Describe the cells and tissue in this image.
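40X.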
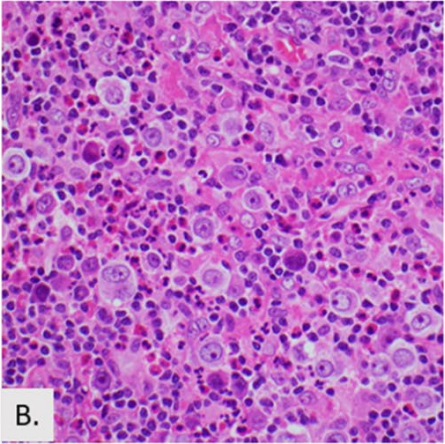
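This field shows scattered large atypical cells of the Hodgkin-Reed-Sternberg type set in a mixed background of smaller inflammatory cells. The large cells have ample pale pink to clear cytoplasm and large round nuclei, each with a conspicuous reddish nucleolus. Around them lie many small round lymphocytes with dark nuclei and scant cytoplasm. Numerous cells with bright orange-red granular cytoplasm, eosinophils, are sprinkled throughout. The mixture of many cell kinds gives the background a busy, polymorphous look.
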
